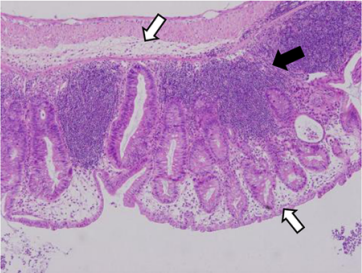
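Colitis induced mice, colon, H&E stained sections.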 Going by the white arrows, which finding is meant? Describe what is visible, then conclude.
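The layer at the arrows is pale, loose and widened with few cells. Clear spaces separate the fibres in that pale layer. That points to this answer: edema.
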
